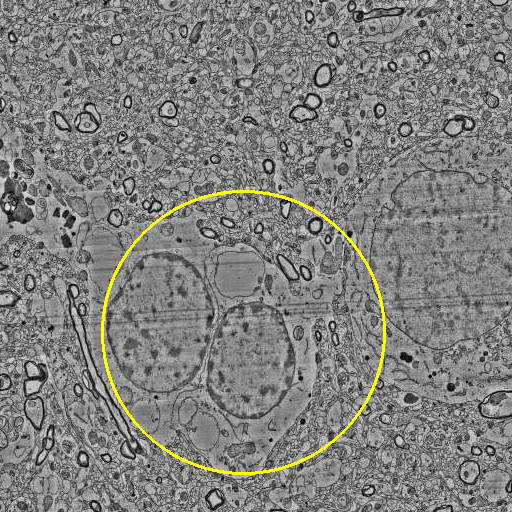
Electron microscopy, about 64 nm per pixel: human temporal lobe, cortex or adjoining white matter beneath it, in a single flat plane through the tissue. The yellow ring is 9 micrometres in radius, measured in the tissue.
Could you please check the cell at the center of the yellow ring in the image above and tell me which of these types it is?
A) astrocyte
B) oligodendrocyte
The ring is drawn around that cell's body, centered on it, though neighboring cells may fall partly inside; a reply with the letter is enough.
A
